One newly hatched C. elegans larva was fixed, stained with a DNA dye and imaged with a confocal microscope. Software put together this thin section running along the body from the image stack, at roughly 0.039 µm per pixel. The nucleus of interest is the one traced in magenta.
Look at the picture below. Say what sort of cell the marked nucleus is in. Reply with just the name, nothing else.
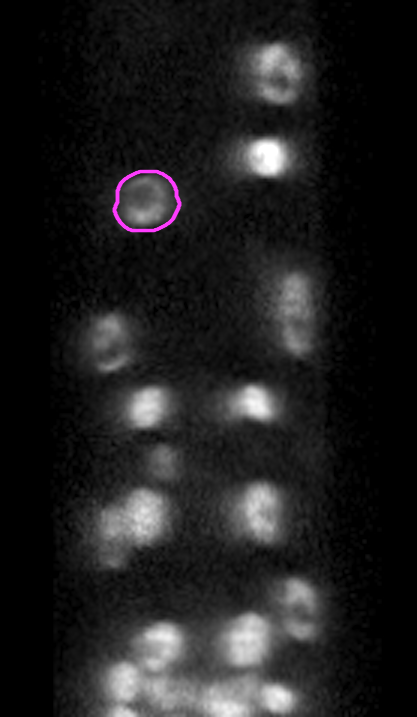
intestinal cell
